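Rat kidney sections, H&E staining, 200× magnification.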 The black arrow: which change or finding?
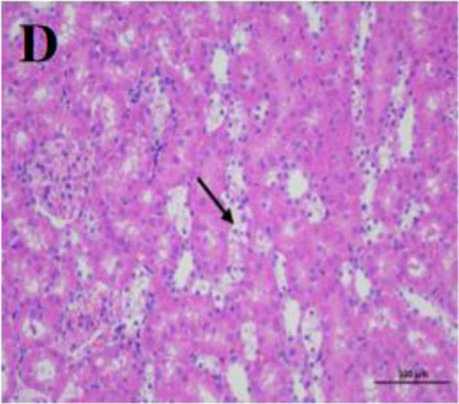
Cytoplasmic vacuolation of renal tubular epithelial cells.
